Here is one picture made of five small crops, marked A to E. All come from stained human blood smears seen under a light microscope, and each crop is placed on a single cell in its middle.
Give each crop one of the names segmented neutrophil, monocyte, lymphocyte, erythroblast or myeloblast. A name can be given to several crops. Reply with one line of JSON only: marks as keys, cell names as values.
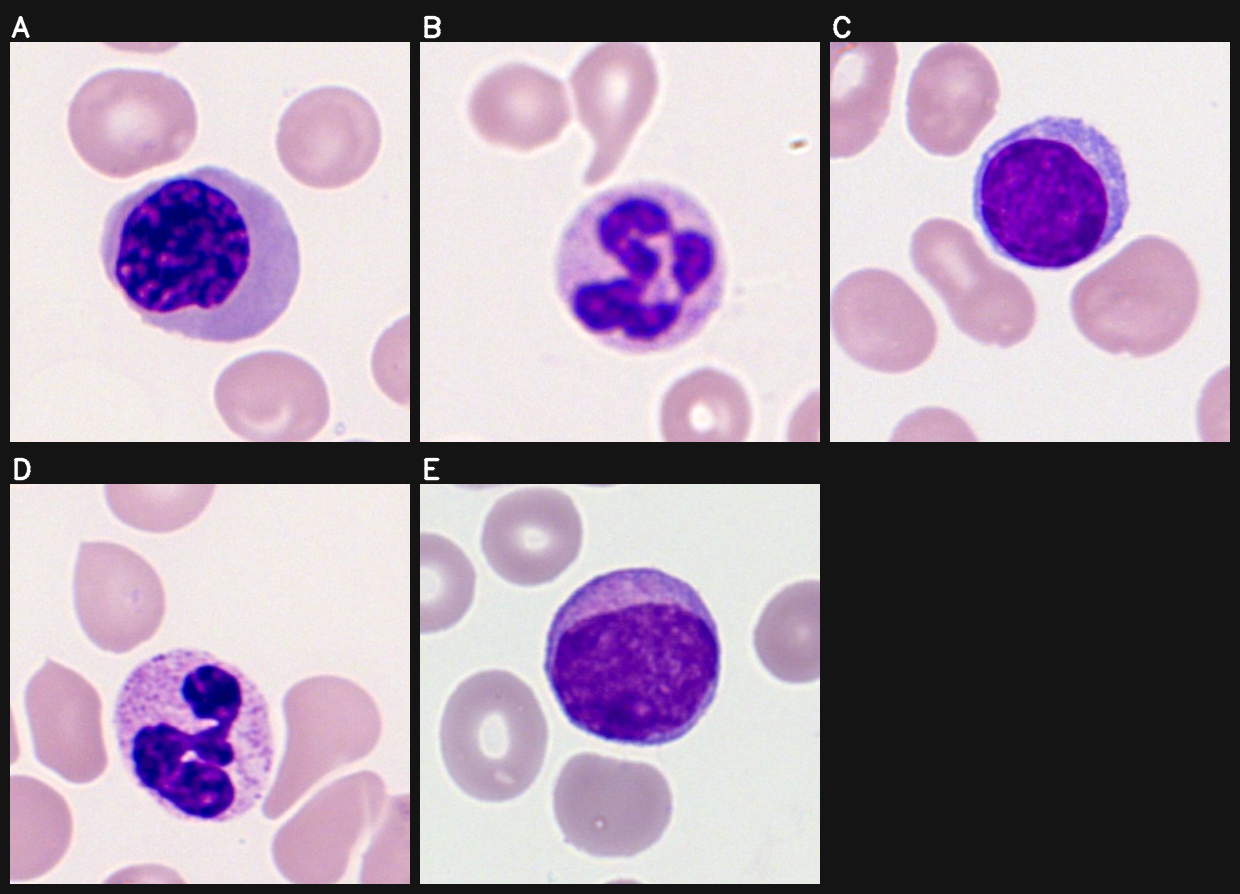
{"A": "erythroblast", "B": "segmented neutrophil", "C": "lymphocyte", "D": "segmented neutrophil", "E": "myeloblast"}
